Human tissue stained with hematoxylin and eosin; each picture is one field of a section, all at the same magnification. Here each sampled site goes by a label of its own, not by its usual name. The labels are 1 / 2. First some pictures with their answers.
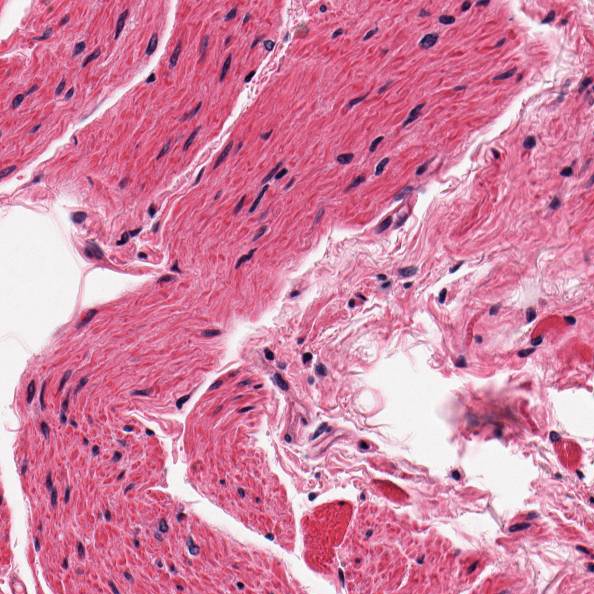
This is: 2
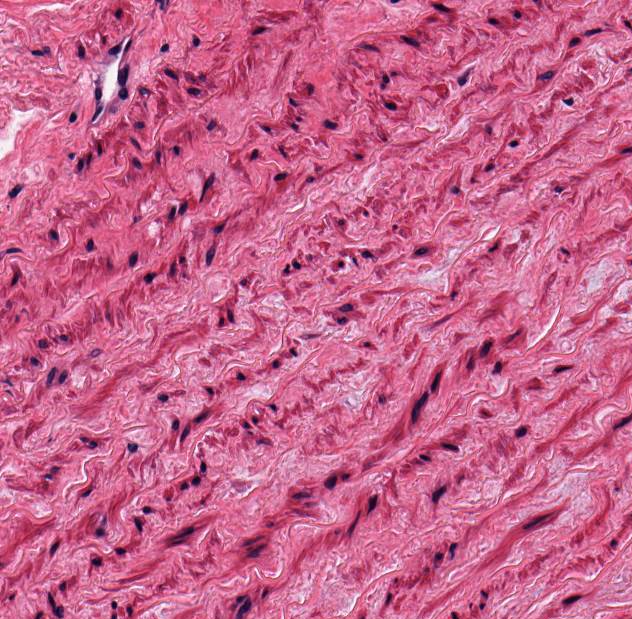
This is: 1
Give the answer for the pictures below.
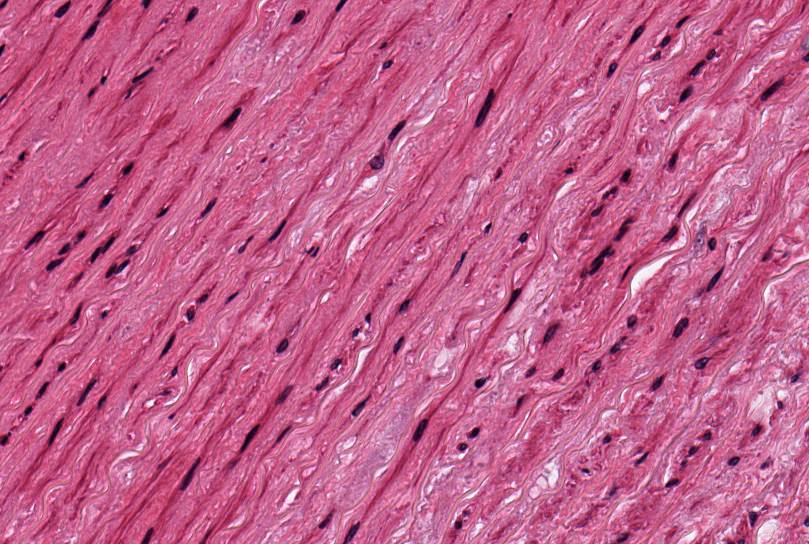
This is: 1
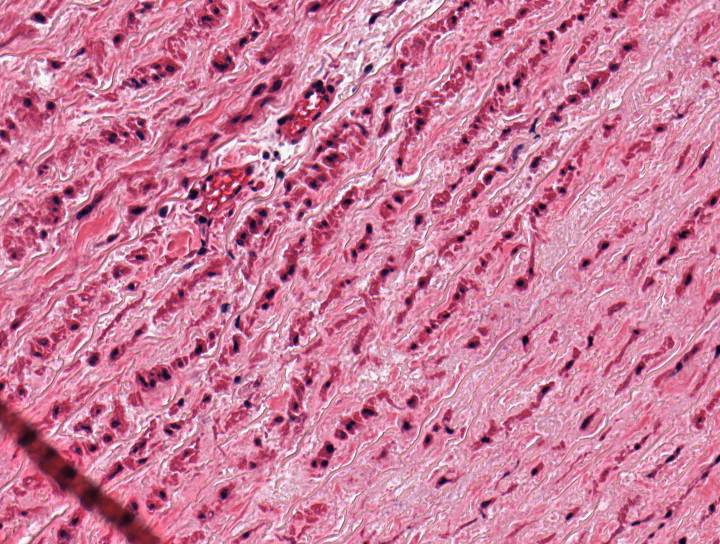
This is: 1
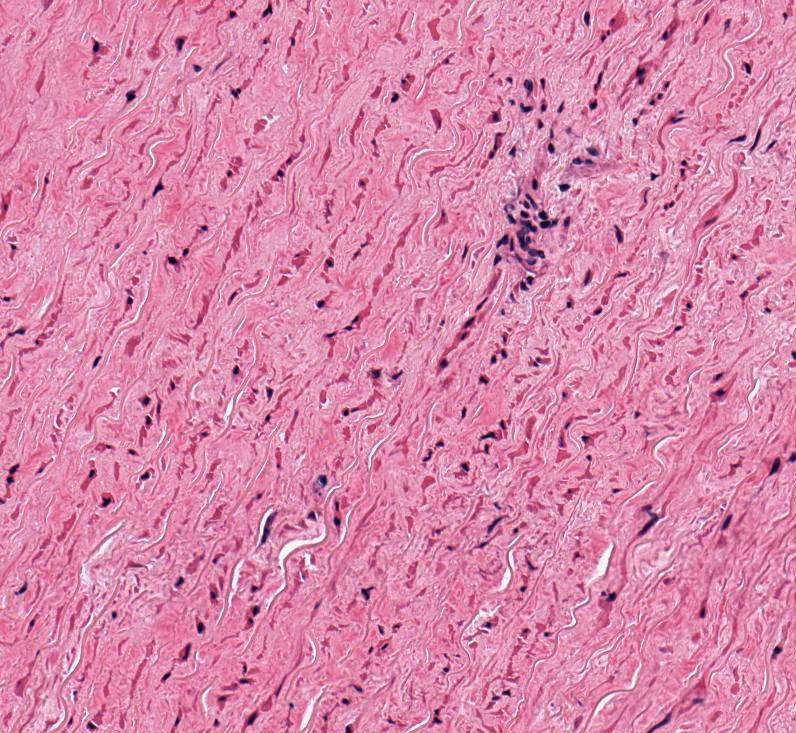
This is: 1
